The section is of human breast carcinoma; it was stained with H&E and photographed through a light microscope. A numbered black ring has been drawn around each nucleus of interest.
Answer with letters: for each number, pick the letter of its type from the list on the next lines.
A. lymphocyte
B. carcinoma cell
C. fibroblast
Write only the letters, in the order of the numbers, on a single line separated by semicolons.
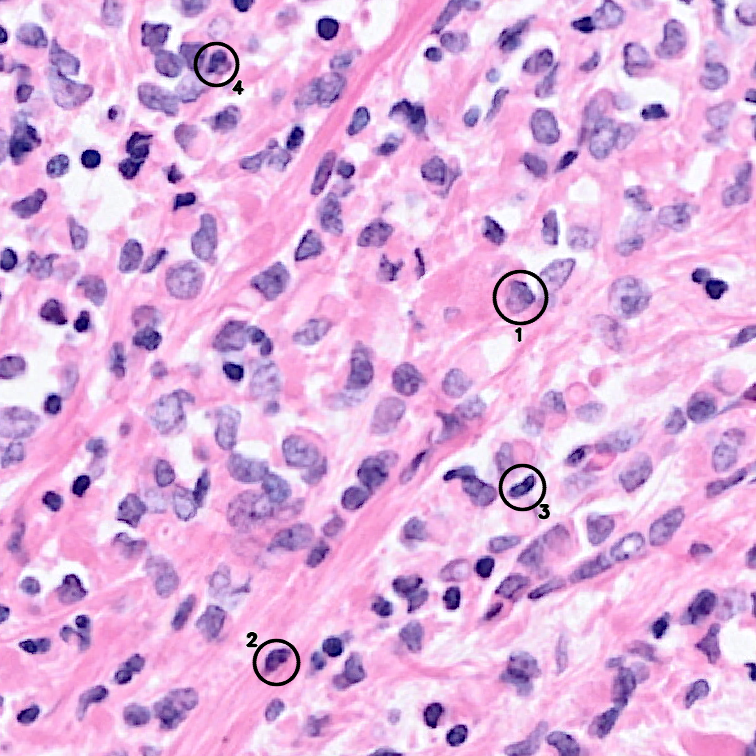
B; A; A; A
